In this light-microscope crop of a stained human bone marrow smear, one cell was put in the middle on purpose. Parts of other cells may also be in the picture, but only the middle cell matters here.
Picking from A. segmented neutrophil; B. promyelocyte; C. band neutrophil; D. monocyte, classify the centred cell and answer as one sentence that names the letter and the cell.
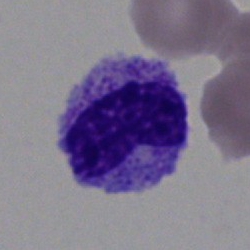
Option C is the correct one; it names the central cell as a band neutrophil.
